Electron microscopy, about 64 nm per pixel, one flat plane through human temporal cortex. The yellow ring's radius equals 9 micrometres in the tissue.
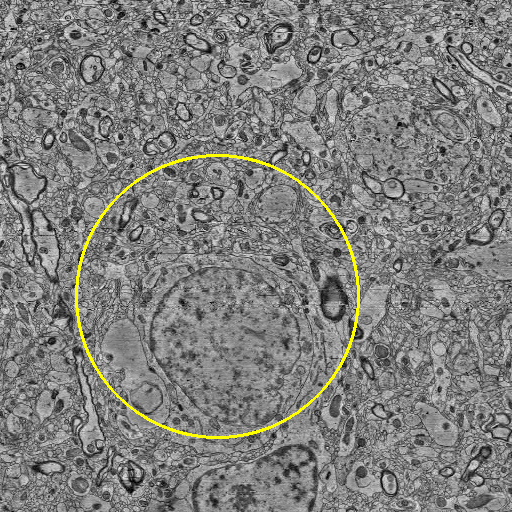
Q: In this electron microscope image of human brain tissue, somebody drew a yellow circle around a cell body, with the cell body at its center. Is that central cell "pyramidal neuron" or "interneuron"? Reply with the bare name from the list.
interneuron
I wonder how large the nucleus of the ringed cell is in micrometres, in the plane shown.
The nucleus of the ringed cell is approximately 11 by 9 micrometres in this plane.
